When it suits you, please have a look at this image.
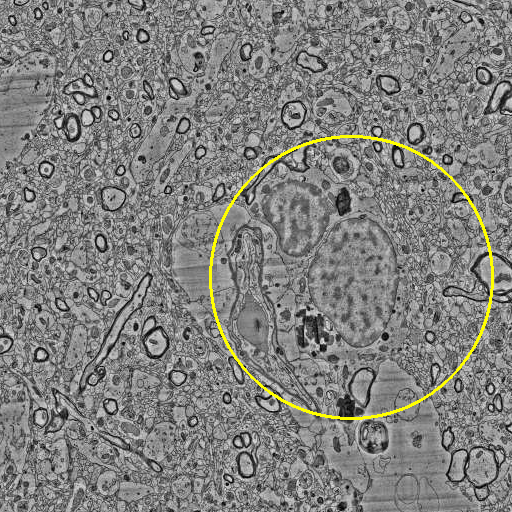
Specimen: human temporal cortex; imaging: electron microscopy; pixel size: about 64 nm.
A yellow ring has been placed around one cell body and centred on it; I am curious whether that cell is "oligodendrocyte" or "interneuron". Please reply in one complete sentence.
The ringed cell, an oligodendrocyte, has its body at the centre of the yellow ring.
